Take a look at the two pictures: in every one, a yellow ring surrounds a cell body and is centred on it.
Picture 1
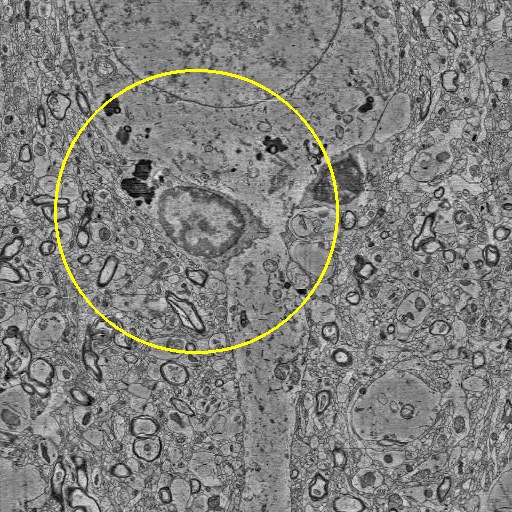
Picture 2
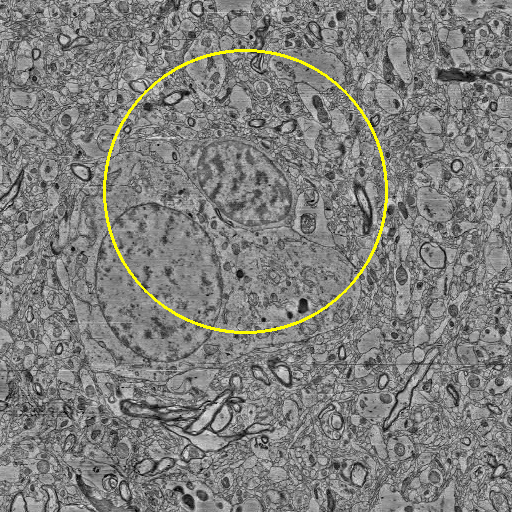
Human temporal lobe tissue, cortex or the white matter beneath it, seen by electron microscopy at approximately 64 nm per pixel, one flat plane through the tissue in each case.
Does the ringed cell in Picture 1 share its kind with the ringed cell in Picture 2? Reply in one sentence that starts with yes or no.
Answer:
Yes, the two centred cells, one per picture, are of one kind.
